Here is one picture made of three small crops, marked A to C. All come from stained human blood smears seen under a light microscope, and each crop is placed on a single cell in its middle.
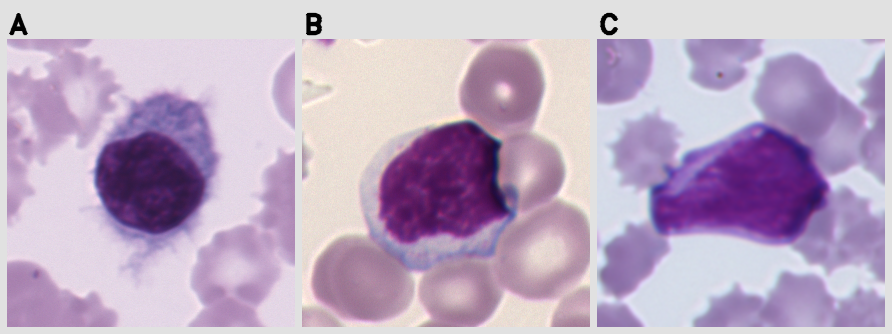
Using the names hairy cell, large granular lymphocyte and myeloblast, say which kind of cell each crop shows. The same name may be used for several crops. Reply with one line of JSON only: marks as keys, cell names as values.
{"A": "hairy cell", "B": "large granular lymphocyte", "C": "myeloblast"}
